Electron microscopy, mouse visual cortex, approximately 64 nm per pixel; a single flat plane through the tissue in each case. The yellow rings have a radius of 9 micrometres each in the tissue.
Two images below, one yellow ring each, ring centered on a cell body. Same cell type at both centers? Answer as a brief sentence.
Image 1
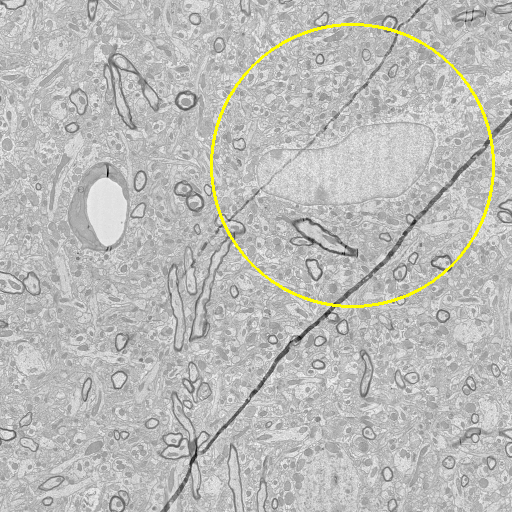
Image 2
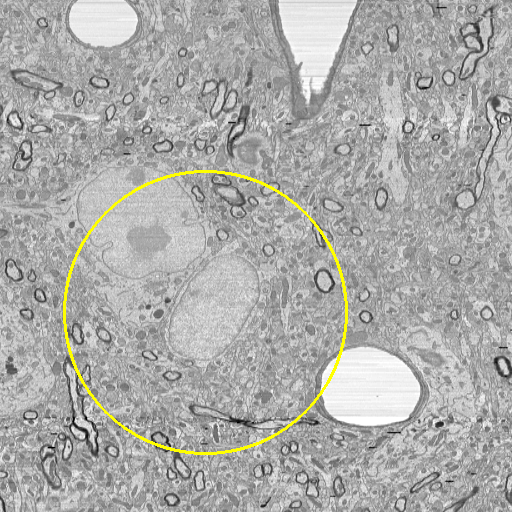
Yes, both cells are of the same type.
